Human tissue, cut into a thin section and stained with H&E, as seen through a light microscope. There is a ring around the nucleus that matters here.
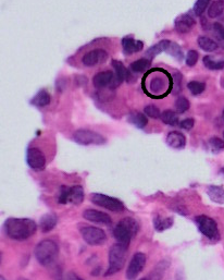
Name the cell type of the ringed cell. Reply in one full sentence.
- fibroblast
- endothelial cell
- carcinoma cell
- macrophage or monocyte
The cell meant here is a carcinoma cell.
